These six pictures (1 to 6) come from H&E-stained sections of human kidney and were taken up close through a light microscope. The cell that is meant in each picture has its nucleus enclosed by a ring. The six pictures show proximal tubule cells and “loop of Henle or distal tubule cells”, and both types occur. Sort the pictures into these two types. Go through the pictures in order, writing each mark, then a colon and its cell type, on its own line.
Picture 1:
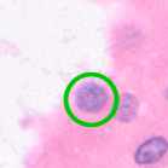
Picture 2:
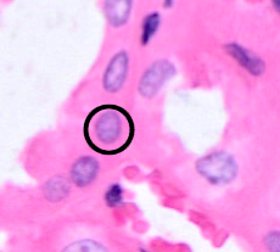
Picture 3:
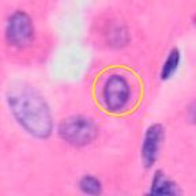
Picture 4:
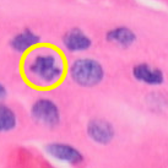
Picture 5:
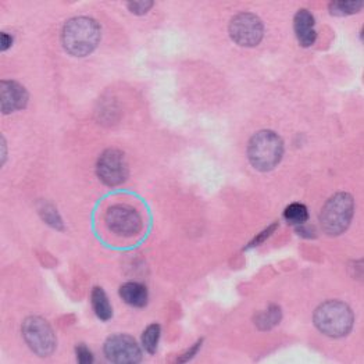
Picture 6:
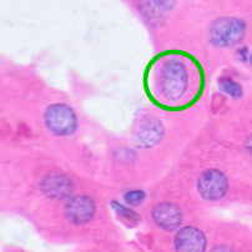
1: proximal tubule cell
2: proximal tubule cell
3: proximal tubule cell
4: loop of Henle or distal tubule cell
5: proximal tubule cell
6: loop of Henle or distal tubule cell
